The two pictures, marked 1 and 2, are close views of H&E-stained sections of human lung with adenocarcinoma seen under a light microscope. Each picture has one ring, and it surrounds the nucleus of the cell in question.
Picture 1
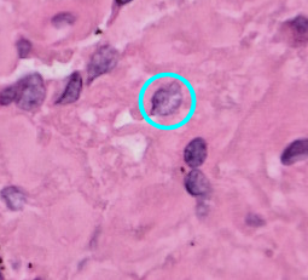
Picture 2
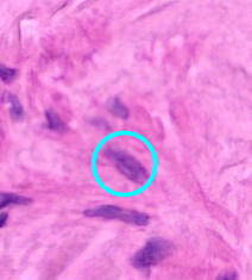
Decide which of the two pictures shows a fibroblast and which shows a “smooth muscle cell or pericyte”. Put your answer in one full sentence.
Picture 1 is of a fibroblast, and picture 2 is of a “smooth muscle cell or pericyte”.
